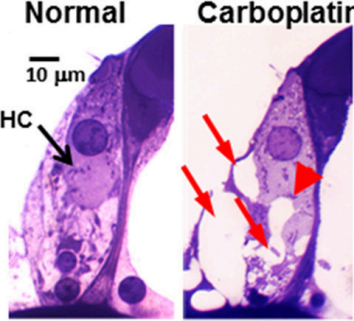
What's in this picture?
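These are sections through an inner hair cell of the cochlea and the nerve terminal region at its base, stained in purple. On the left the hair cell has a round nucleus and the tissue beneath it is compact, with small round profiles of nerve terminals packed against the cell. On the right large clear vacuoles open up beneath and beside the base of the hair cell, where the afferent terminals lie.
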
